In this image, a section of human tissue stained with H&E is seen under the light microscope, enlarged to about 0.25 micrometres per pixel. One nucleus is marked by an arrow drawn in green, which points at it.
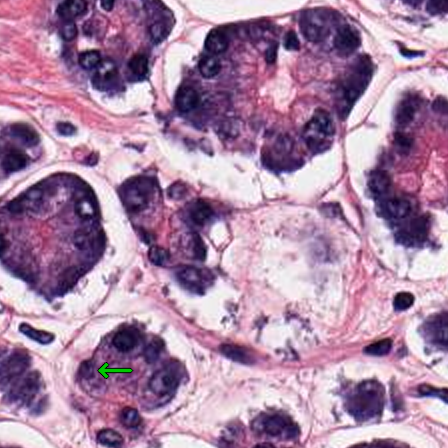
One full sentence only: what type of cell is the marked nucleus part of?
The cell bearing the marked nucleus is a pancreatic acinar cell.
